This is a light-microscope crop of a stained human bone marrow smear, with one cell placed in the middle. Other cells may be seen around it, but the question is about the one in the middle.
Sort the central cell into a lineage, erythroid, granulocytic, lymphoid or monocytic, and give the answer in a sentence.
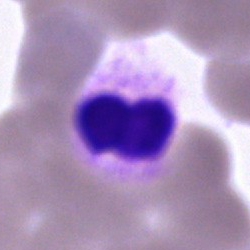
The cell occupying the middle of the crop is classified within the granulocytic lineage.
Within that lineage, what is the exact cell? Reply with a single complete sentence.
The cell positioned in the middle of the field is a segmented neutrophil.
